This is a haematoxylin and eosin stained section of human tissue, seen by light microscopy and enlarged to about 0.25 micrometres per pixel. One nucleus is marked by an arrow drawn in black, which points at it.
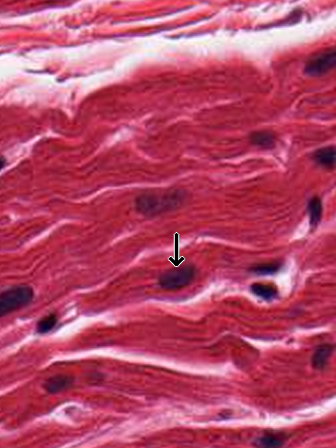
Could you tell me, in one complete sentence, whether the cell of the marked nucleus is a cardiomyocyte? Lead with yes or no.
Yes, the cell containing the marked nucleus is a cardiomyocyte.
